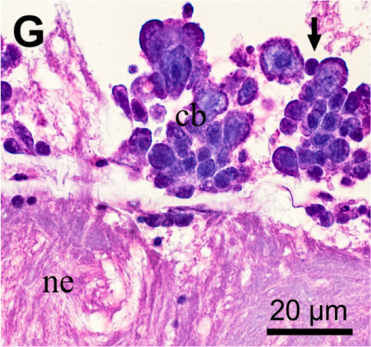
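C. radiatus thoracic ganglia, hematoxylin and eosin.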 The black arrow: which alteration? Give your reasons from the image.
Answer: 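The arrow points to a small, round, densely dark purple nucleus. The marked nucleus is smaller and darker than the surrounding neuronal nuclei.
Conclusion: pyknotic nucleus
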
